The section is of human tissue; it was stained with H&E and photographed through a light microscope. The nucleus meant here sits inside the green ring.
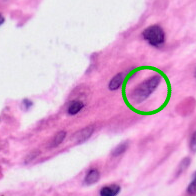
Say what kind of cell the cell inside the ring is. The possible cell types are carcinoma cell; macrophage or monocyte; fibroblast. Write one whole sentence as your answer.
This is a fibroblast.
